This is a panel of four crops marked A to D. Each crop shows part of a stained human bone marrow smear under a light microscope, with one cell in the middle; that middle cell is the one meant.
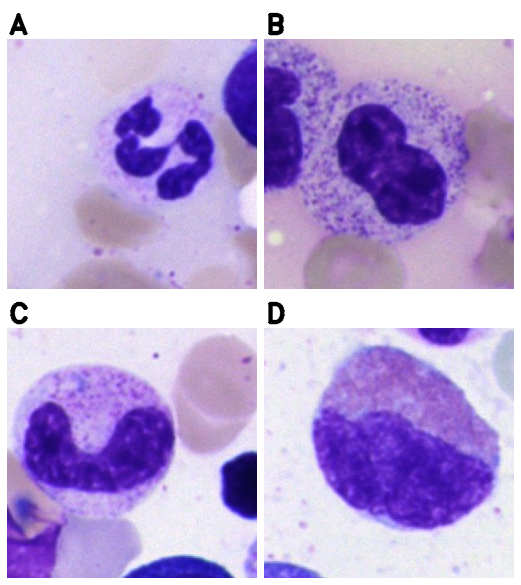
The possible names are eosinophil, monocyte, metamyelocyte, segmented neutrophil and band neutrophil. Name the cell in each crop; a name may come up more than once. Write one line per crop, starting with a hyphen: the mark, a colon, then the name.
- A: segmented neutrophil
- B: metamyelocyte
- C: band neutrophil
- D: eosinophil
